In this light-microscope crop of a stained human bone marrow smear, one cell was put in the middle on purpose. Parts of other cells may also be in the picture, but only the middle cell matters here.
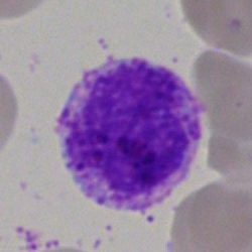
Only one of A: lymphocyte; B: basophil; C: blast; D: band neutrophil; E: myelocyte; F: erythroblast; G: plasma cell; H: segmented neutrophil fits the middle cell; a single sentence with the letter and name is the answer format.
The cell centred in the crop is a basophil, and the correct option is thus B.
